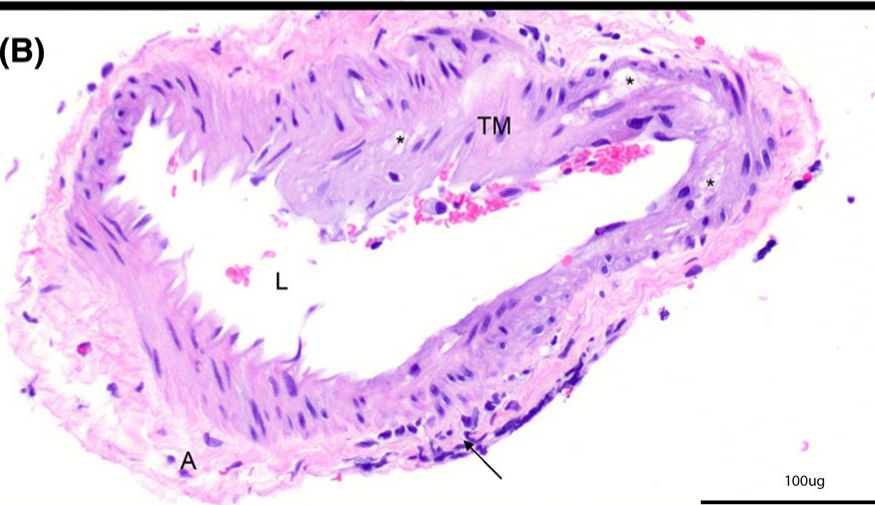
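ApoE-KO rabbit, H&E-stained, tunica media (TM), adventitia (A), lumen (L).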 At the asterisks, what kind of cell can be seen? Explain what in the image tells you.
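The asterisks lie in pale, foamy, clear-looking areas within the vessel wall. The cells around the asterisks have pale, bubbly cytoplasm unlike the pink spindle cells elsewhere in the wall.
Answer: vacuolated cells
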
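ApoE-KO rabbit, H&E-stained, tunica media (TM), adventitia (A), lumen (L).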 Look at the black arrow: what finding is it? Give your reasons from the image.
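The arrow points to a cluster of small, dark, densely stained nuclei at the outer edge of the vessel wall. These small round dark nuclei differ from the elongated nuclei of the wall's spindle cells. On this evidence: inflammatory cell infiltration.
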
